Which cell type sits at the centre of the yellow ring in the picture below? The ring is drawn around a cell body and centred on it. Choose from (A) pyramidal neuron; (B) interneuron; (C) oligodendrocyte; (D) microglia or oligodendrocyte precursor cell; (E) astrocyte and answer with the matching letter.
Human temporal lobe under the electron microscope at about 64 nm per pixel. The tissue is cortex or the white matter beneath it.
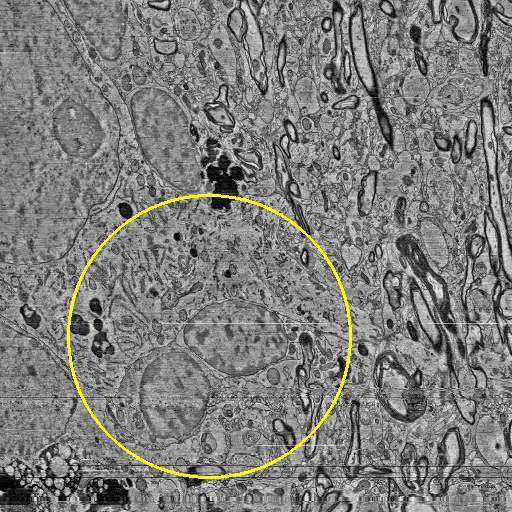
D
